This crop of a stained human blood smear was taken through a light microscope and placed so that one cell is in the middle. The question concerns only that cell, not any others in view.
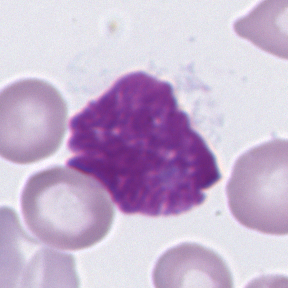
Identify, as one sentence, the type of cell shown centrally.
For this crop, the cell in the middle is a smudge cell.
